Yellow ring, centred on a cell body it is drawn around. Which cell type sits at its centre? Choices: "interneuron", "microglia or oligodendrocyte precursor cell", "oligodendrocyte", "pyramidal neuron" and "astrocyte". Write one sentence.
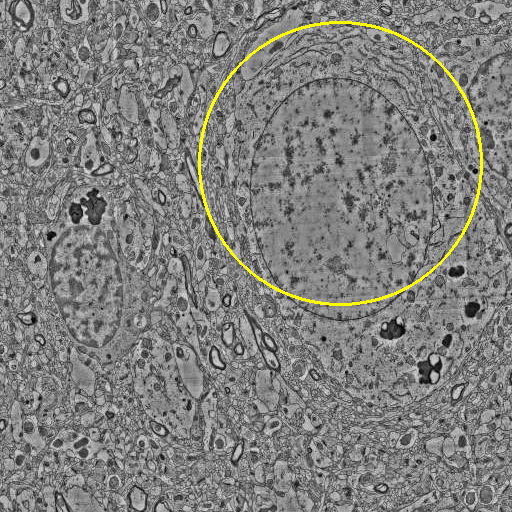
At the centre of the ring sits a pyramidal neuron.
